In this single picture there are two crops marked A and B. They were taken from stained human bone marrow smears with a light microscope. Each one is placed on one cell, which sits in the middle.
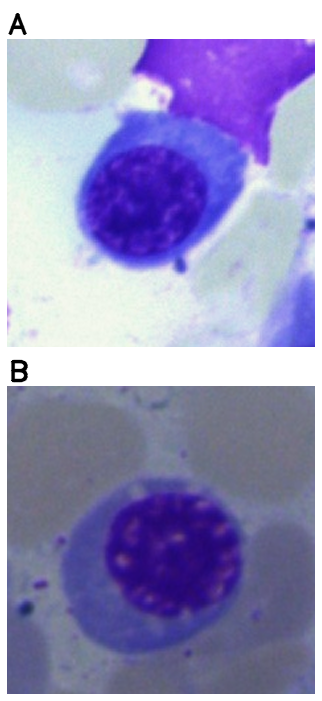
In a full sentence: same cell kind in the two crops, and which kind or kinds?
Yes, both crops show normoblasts at their middles.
